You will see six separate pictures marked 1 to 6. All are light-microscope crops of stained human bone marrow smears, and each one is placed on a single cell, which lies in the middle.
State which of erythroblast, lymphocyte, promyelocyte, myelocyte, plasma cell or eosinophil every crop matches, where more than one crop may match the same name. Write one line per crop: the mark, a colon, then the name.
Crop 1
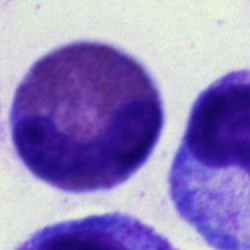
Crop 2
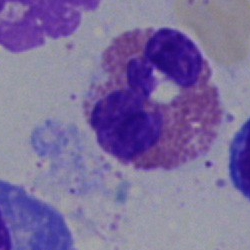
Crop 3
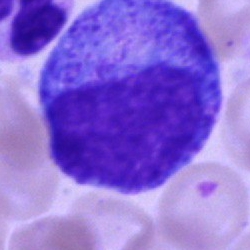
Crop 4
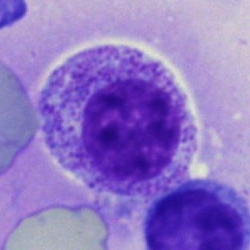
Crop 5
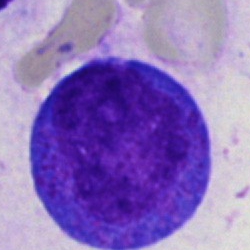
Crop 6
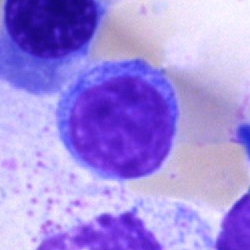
1: eosinophil
2: eosinophil
3: promyelocyte
4: myelocyte
5: promyelocyte
6: lymphocyte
